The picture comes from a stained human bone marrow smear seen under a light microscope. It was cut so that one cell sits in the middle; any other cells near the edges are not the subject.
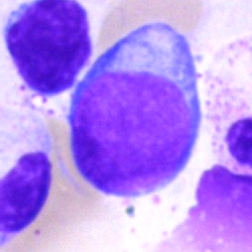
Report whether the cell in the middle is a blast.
yes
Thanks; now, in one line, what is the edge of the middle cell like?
Happy to help: the outline is smooth and shows no projections.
